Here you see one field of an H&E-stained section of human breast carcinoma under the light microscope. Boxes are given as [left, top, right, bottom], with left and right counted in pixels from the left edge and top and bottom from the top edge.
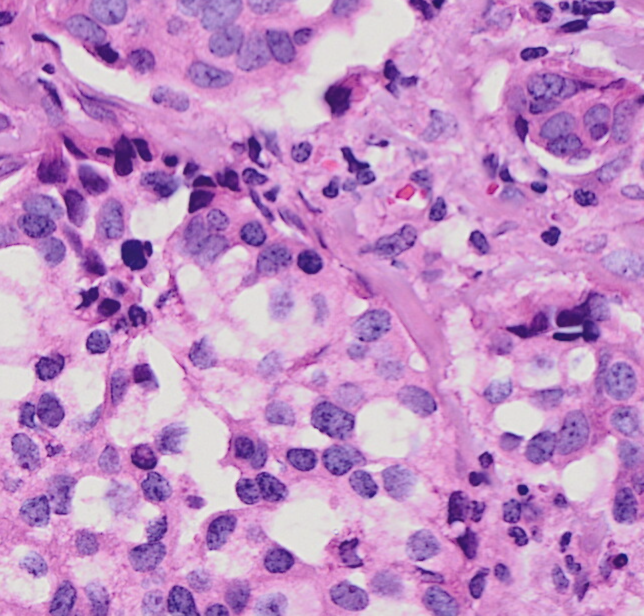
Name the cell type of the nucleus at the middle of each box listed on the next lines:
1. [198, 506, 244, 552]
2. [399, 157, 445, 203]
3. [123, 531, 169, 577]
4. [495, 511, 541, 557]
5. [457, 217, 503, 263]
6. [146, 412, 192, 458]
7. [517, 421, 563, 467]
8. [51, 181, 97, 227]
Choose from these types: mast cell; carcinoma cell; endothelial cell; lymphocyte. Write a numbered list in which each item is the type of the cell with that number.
1. carcinoma cell
2. endothelial cell
3. carcinoma cell
4. lymphocyte
5. mast cell
6. carcinoma cell
7. carcinoma cell
8. carcinoma cell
